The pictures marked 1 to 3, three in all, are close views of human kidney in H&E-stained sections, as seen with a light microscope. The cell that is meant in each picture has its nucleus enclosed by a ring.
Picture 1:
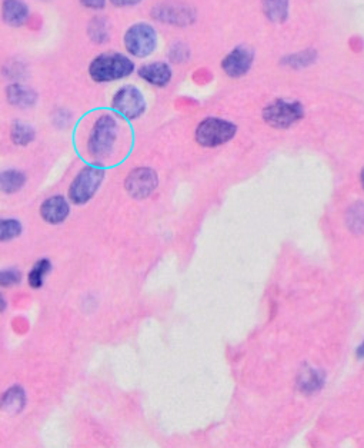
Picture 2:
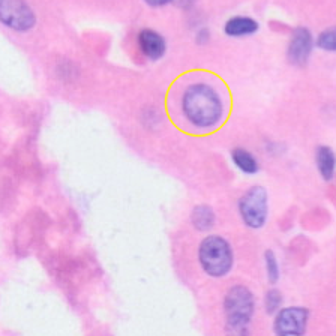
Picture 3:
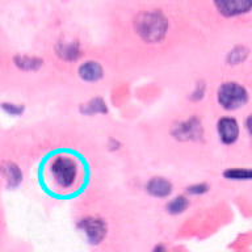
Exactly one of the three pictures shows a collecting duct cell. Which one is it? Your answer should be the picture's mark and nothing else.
1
